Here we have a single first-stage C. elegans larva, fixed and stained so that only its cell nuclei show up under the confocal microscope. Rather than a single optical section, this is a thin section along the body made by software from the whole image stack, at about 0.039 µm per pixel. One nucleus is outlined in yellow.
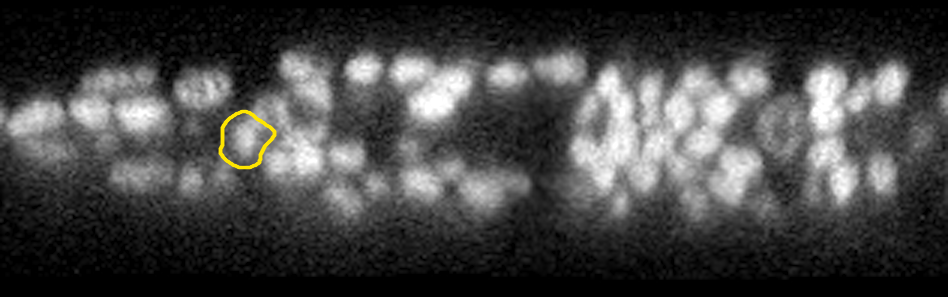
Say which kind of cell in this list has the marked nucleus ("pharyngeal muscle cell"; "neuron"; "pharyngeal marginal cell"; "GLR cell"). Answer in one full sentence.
The marked nucleus belongs to a pharyngeal muscle cell.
